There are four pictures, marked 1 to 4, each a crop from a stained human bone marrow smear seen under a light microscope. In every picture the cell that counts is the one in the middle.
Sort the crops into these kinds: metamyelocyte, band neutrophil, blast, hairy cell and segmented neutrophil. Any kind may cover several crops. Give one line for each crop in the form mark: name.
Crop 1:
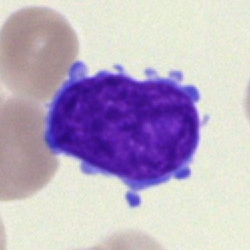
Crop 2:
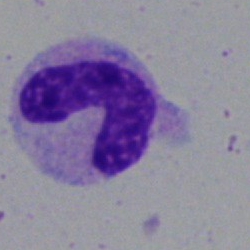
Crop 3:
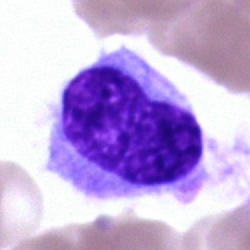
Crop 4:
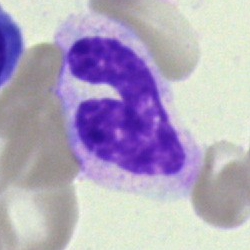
1: blast
2: band neutrophil
3: hairy cell
4: band neutrophil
